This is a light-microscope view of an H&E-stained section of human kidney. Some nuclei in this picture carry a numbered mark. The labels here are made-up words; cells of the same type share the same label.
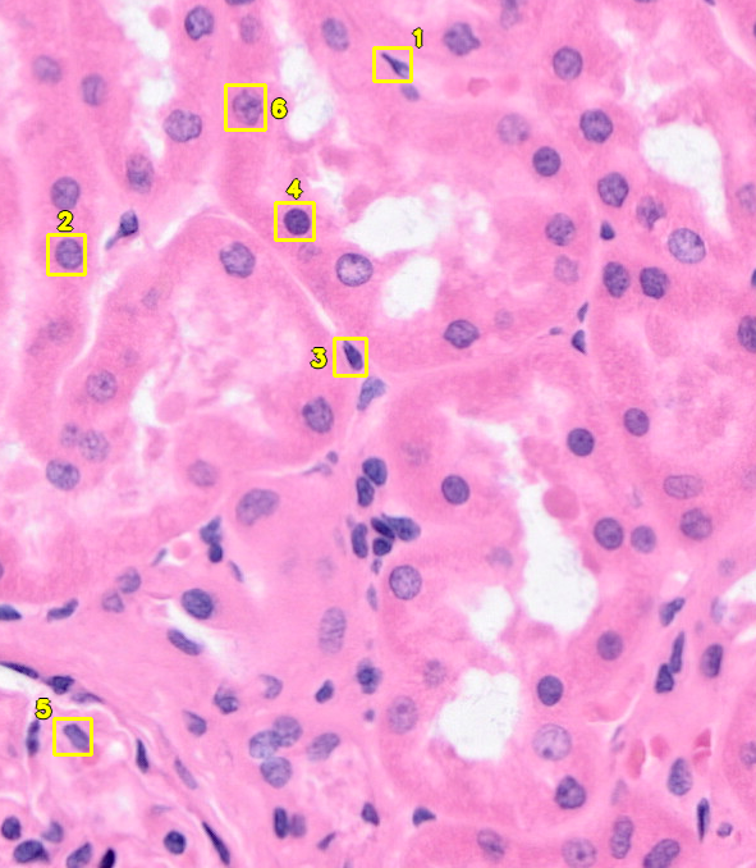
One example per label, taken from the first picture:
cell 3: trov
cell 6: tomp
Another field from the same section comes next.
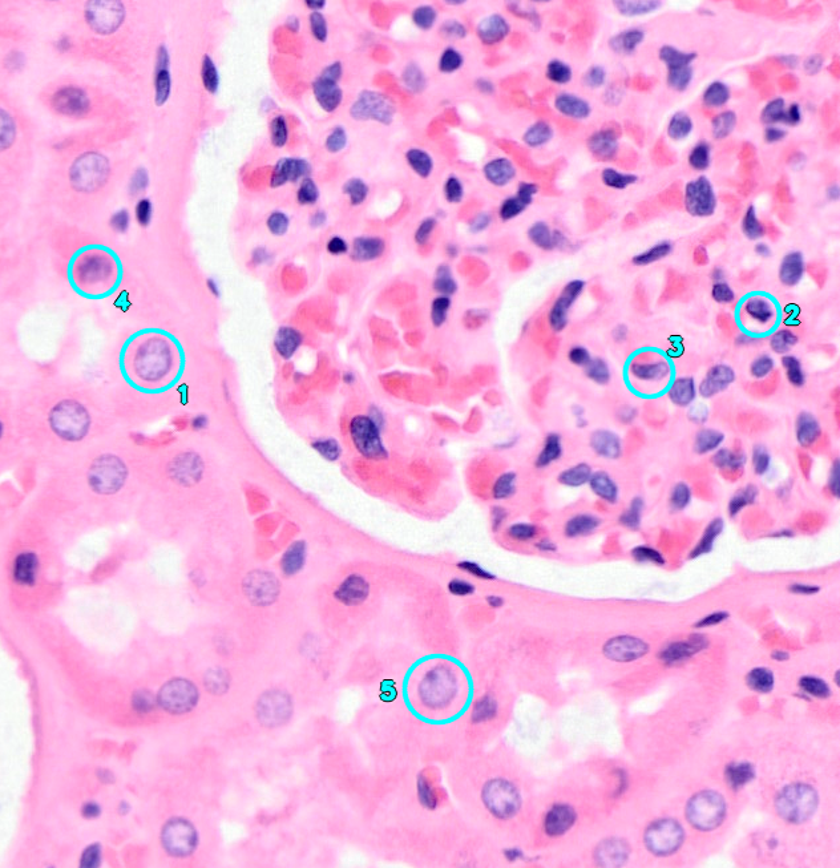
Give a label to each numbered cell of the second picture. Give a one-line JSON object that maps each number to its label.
{"1": "tomp", "2": "trov", "3": "trov", "4": "tomp", "5": "tomp"}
